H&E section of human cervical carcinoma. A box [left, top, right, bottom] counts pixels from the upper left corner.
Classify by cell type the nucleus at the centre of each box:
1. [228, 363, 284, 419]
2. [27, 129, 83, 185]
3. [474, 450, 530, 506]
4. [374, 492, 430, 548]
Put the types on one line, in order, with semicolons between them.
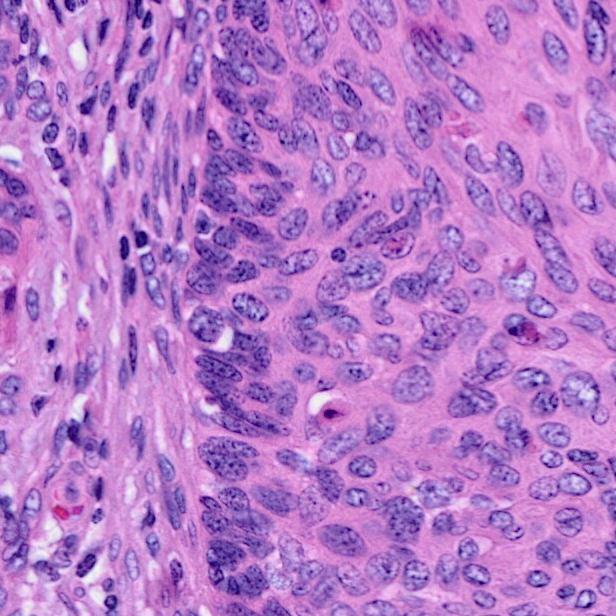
squamous carcinoma cell; lymphocyte; squamous carcinoma cell; squamous carcinoma cell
